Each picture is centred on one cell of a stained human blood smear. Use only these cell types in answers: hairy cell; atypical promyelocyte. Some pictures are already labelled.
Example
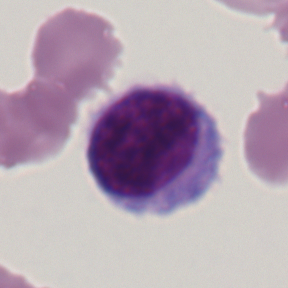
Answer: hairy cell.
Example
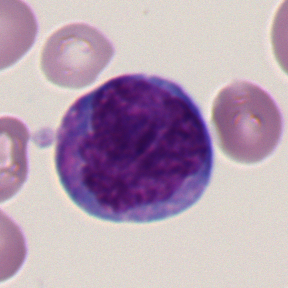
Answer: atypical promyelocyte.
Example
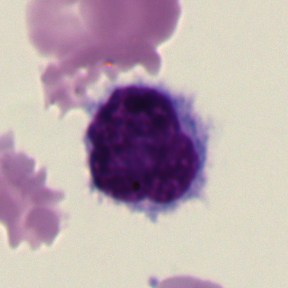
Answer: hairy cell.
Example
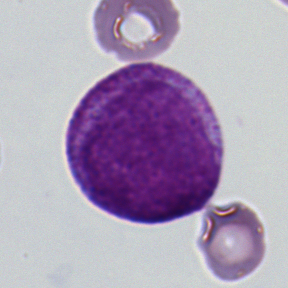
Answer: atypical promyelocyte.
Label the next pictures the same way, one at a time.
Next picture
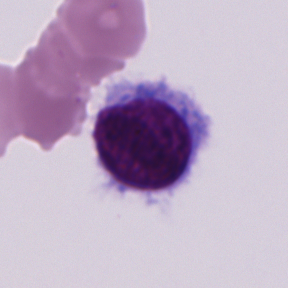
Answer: hairy cell.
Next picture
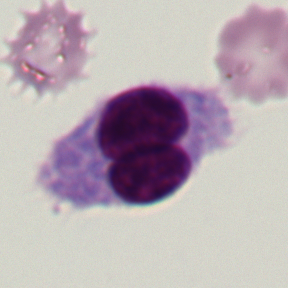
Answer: hairy cell.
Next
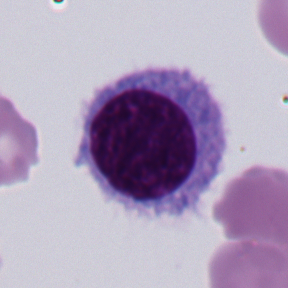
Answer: hairy cell.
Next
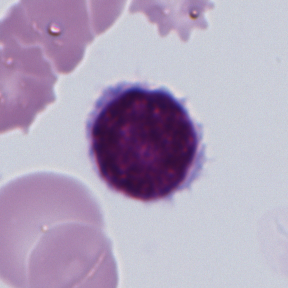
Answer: hairy cell.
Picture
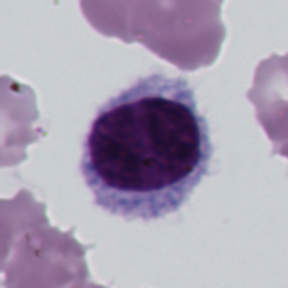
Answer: hairy cell.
